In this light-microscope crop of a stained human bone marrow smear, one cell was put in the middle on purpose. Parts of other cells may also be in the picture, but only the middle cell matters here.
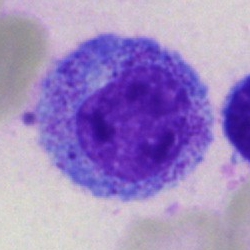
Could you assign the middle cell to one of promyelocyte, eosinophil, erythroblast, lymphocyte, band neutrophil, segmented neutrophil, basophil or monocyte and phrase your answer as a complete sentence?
The cell centred in this crop is categorized as a promyelocyte.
